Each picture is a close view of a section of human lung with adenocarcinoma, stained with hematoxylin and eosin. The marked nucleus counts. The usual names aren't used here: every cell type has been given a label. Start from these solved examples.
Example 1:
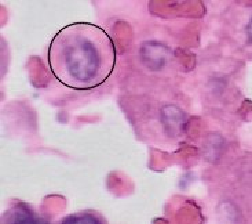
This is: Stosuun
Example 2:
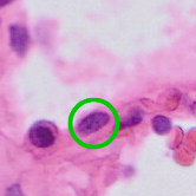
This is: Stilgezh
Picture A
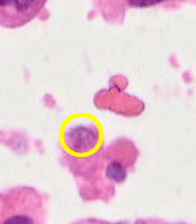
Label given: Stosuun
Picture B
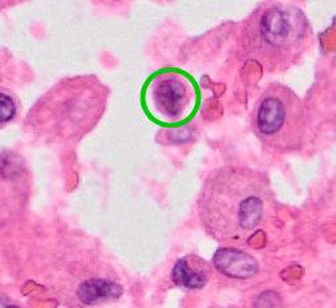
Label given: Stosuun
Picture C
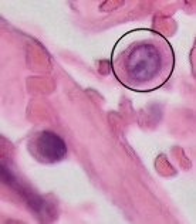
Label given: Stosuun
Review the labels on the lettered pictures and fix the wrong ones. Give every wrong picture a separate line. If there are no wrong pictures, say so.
Nothing to fix; every label fits.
